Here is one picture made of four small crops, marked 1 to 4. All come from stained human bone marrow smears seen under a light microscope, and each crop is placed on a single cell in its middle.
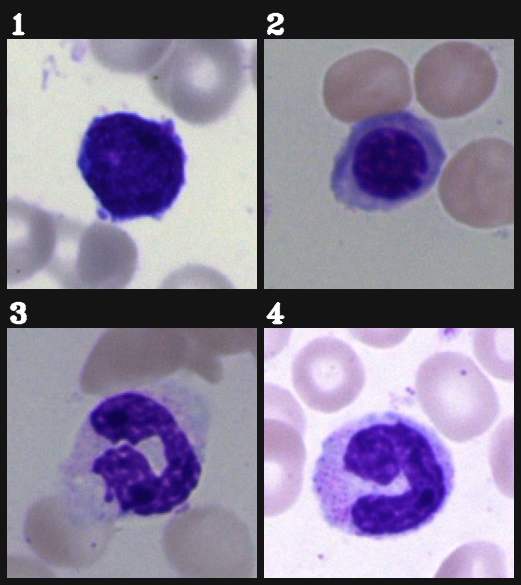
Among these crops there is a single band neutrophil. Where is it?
4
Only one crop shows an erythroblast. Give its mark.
2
